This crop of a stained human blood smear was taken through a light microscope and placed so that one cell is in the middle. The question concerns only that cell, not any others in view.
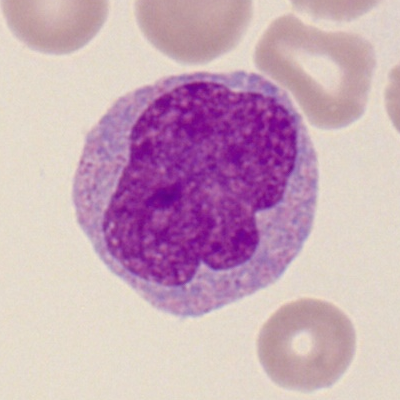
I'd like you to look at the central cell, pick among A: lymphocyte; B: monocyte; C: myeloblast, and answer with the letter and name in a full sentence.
Option C is the right choice, the central cell being a myeloblast.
